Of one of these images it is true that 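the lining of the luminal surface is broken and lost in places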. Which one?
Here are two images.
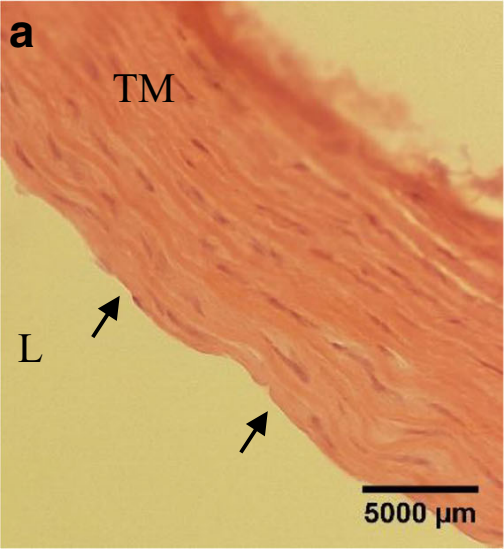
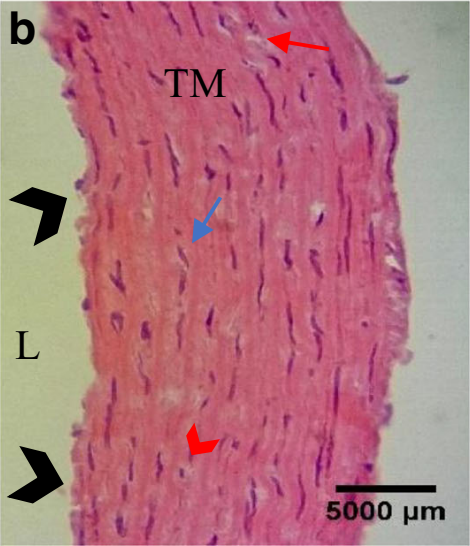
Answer: The second image.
